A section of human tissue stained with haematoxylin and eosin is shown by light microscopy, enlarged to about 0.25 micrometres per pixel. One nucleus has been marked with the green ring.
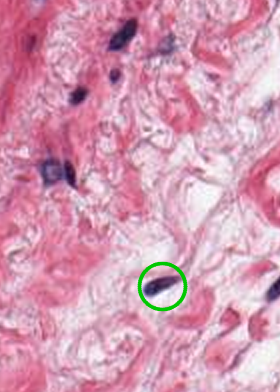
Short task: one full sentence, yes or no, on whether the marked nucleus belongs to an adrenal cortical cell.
No, the marked nucleus is held by a supporting cell and not by an adrenal cortical cell.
